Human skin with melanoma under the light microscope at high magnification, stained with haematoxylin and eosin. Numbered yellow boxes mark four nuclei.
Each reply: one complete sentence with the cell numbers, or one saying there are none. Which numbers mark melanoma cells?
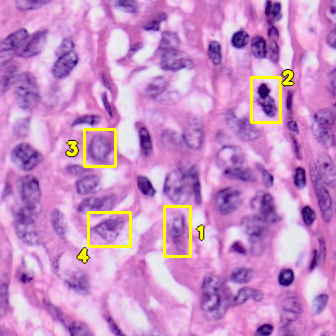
Within the section, cells numbered 1, 3 and 4 are melanoma cells.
